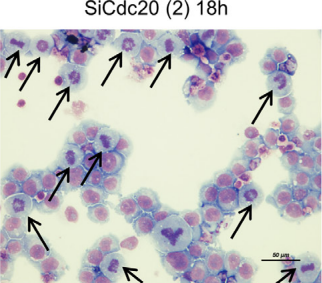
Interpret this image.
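A cytospin of cultured round cells stained purple and blue, in which many enlarged cells with wide pale blue cytoplasm hold no round nucleus but a compact, dark purple clump or bar of chromatin in their centre. Between them lie smaller cells with round nuclei and small pink and purple fragments. The enlarged cells with centrally gathered, condensed chromosomes are cells held in metaphase.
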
